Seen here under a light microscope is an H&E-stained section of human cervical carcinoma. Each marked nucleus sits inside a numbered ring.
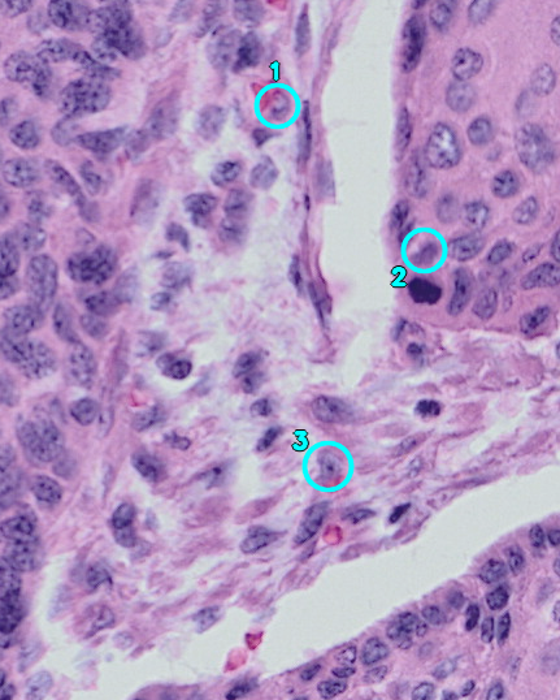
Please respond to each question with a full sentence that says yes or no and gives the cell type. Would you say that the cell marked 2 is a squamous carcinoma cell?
Yes, the cell given number 2 is a squamous carcinoma cell.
